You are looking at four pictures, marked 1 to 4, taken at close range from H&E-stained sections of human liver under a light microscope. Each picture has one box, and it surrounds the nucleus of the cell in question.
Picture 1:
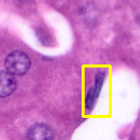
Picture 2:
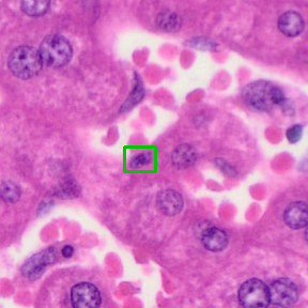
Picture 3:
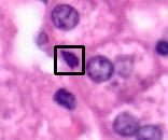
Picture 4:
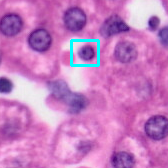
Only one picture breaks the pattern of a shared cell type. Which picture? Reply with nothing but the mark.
4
